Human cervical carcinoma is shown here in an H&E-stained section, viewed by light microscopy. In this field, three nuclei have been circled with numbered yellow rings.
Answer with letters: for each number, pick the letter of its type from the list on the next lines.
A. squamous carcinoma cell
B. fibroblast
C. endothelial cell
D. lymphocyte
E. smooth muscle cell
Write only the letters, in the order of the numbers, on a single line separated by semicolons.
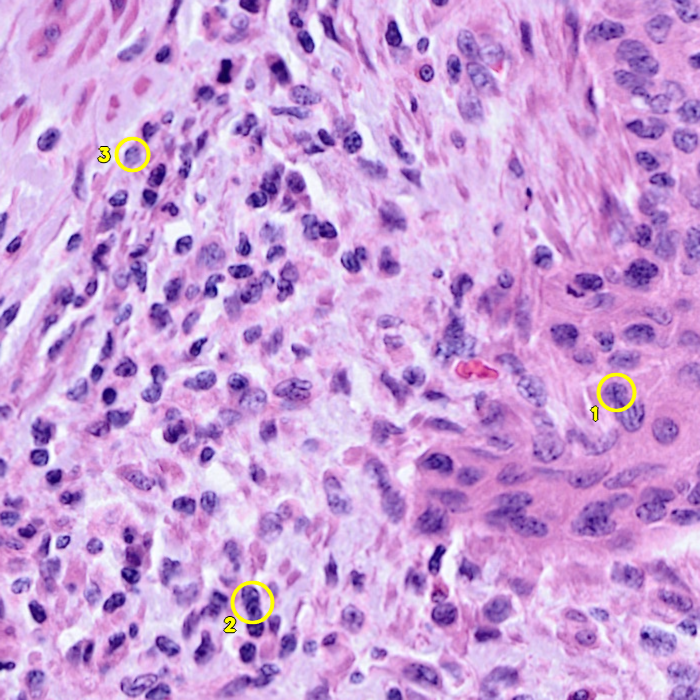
A; D; D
